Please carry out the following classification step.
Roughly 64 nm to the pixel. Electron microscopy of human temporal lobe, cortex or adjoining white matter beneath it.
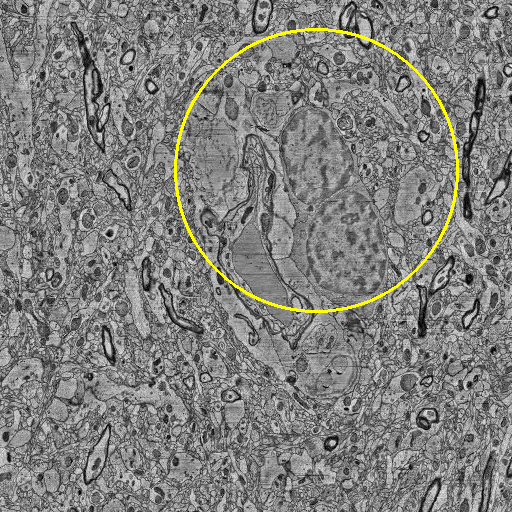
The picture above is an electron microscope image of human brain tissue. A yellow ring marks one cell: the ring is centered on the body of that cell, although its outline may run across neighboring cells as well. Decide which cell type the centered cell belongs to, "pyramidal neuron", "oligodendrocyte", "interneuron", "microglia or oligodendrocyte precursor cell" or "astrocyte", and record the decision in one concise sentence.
The cell centered in the yellow ring is an oligodendrocyte.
